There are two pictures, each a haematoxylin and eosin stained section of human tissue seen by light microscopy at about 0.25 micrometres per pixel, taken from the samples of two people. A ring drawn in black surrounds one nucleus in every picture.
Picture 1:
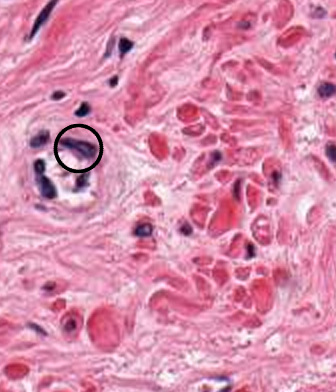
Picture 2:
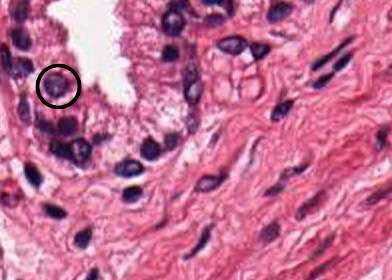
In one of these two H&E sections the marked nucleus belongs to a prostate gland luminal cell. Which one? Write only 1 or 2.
2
